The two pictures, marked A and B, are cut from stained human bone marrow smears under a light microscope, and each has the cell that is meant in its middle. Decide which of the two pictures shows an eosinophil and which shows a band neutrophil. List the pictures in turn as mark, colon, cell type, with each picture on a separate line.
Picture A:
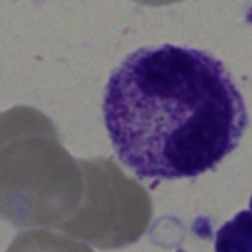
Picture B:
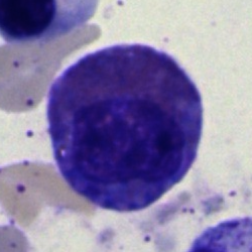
A: band neutrophil
B: eosinophil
